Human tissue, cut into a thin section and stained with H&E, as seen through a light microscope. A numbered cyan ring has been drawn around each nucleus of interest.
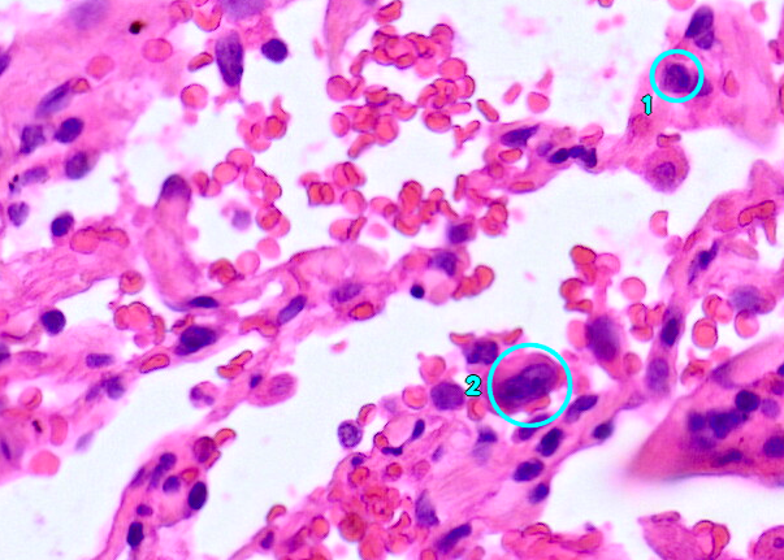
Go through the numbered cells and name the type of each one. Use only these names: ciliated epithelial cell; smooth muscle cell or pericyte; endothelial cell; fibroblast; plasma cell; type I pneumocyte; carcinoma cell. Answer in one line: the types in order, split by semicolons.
type I pneumocyte; carcinoma cell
